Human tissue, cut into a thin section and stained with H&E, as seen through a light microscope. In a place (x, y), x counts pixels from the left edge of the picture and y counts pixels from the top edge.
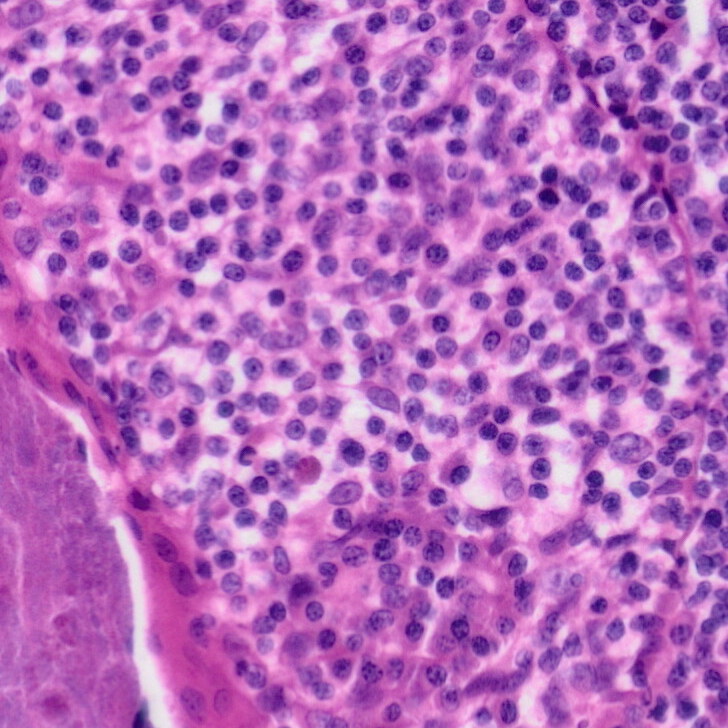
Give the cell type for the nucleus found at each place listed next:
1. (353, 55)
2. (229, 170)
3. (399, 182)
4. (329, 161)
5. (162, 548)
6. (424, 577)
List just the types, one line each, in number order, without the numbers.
plasma cell
plasma cell
plasma cell
squamous epithelial cell
squamous epithelial cell
plasma cell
